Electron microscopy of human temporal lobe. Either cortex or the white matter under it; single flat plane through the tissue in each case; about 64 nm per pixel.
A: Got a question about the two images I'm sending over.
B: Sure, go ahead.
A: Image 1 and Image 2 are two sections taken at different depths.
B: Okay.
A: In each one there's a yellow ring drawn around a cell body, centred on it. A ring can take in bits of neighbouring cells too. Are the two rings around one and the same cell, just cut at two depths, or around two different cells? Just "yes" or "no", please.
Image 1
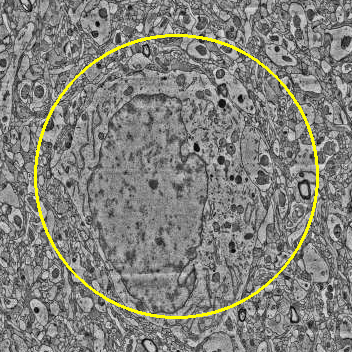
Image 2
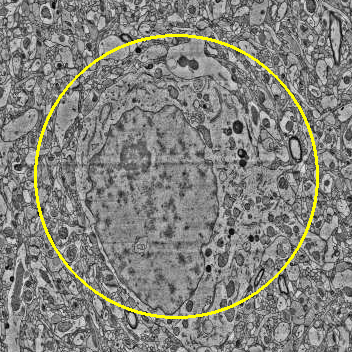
yes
